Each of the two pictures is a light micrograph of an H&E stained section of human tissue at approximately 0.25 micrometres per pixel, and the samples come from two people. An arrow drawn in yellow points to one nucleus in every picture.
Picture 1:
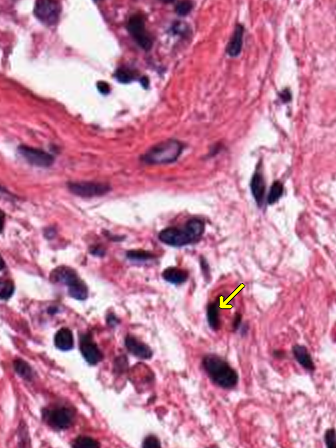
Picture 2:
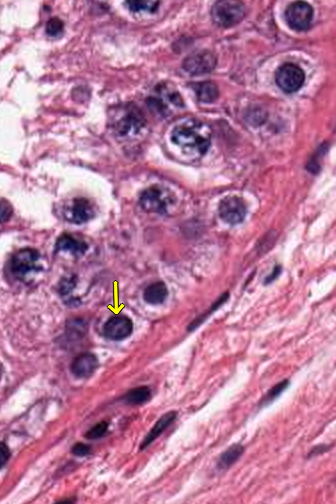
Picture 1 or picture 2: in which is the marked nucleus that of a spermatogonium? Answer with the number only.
2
